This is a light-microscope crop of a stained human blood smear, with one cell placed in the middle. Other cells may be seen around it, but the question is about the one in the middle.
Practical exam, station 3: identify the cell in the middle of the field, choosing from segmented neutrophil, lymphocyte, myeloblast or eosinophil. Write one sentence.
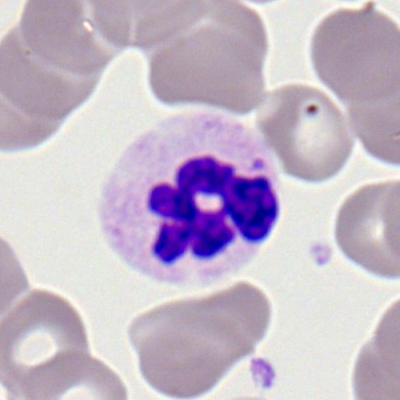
The cell in the middle of the field of view is a segmented neutrophil.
